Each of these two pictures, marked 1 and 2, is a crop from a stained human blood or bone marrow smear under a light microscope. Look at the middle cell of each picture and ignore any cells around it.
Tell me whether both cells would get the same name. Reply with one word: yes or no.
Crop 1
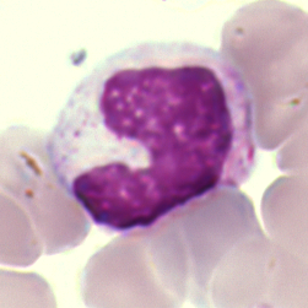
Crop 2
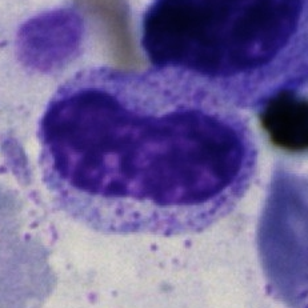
yes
